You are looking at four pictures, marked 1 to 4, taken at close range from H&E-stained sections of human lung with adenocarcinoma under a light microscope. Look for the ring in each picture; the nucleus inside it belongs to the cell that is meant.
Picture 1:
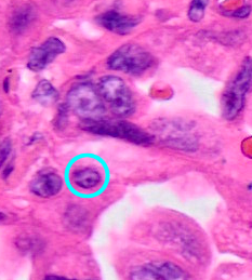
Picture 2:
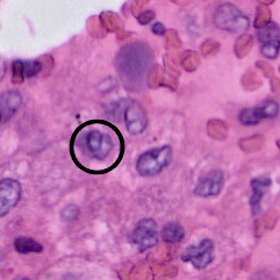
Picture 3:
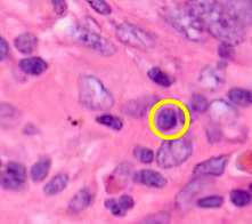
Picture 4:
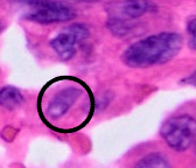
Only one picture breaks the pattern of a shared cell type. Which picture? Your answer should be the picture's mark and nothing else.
3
